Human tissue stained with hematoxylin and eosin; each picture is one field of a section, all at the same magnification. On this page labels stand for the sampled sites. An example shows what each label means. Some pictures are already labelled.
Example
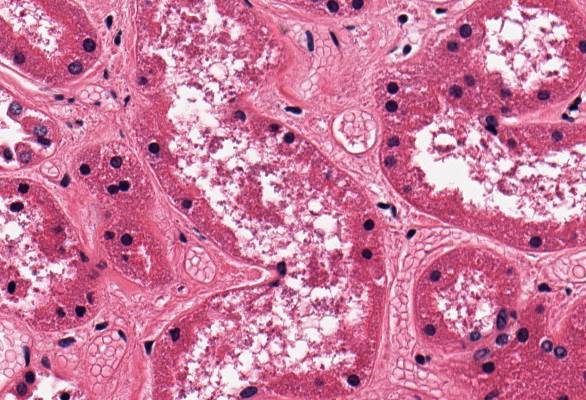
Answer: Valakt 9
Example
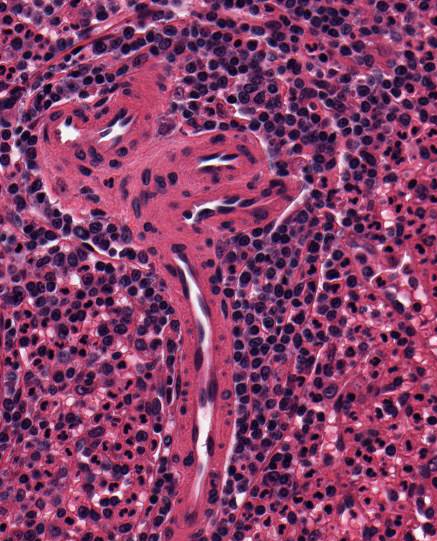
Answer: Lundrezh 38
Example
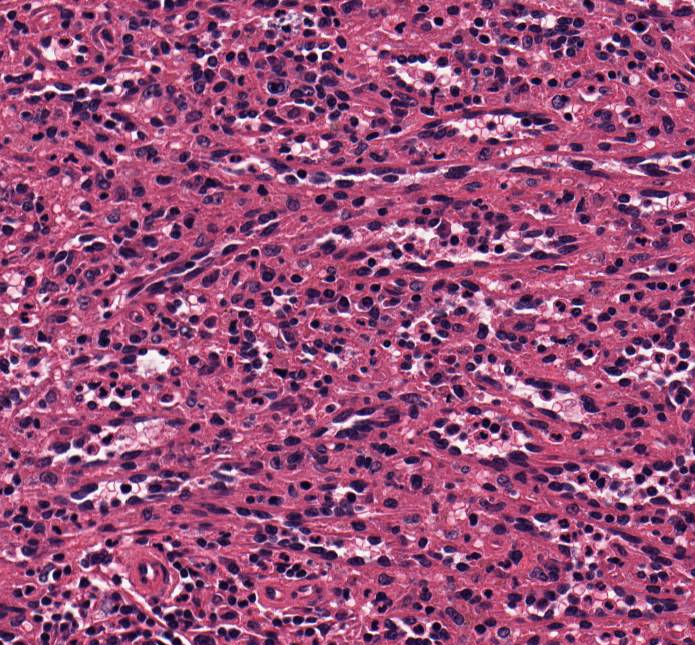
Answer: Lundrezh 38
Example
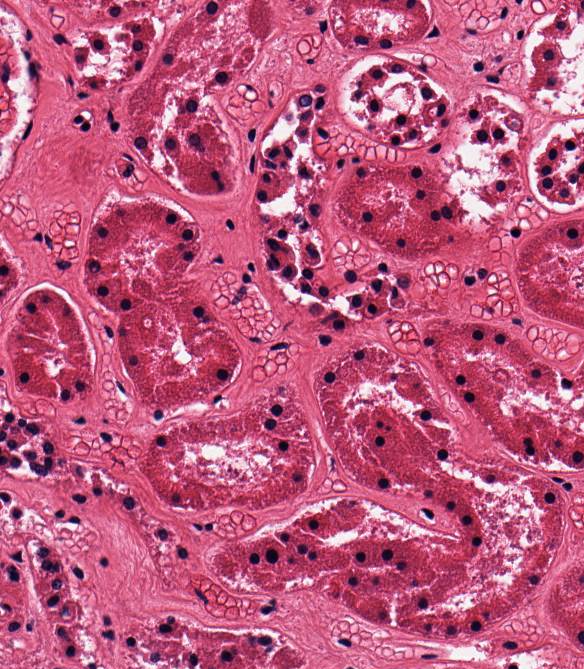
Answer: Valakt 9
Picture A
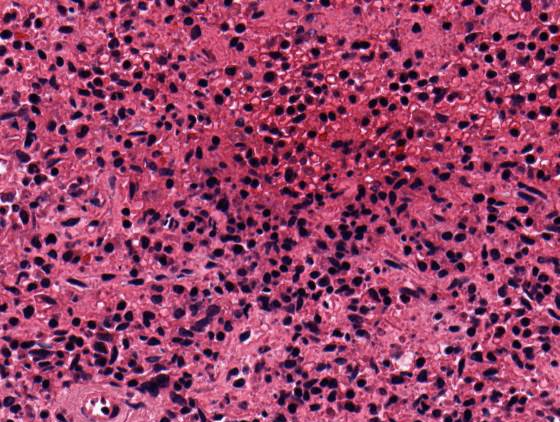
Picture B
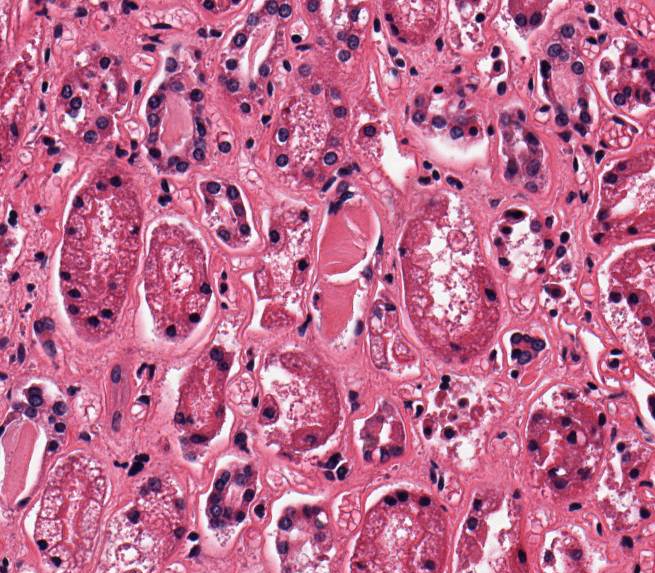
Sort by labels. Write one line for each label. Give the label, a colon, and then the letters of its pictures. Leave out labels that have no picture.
Valakt 9: B
Lundrezh 38: A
